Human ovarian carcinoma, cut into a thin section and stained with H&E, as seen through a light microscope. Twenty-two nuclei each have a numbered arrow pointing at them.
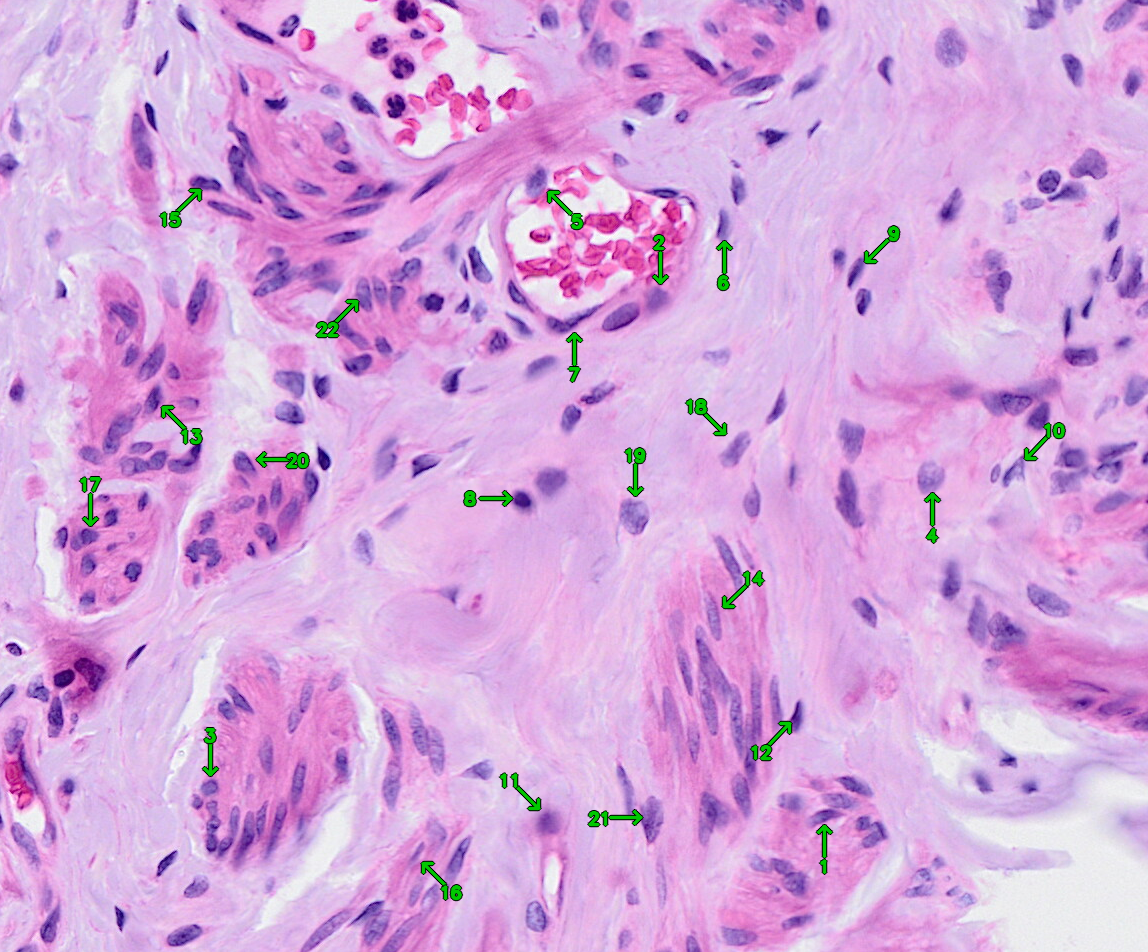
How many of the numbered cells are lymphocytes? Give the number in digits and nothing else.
1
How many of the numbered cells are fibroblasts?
8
